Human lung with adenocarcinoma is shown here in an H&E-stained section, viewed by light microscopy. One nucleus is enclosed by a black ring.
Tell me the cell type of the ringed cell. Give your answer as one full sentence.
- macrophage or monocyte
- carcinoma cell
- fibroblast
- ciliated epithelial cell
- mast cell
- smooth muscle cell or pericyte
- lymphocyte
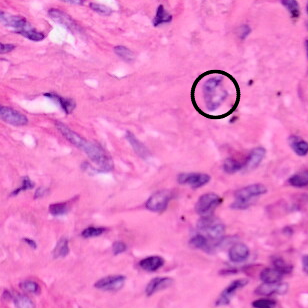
The cell meant here is a fibroblast.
